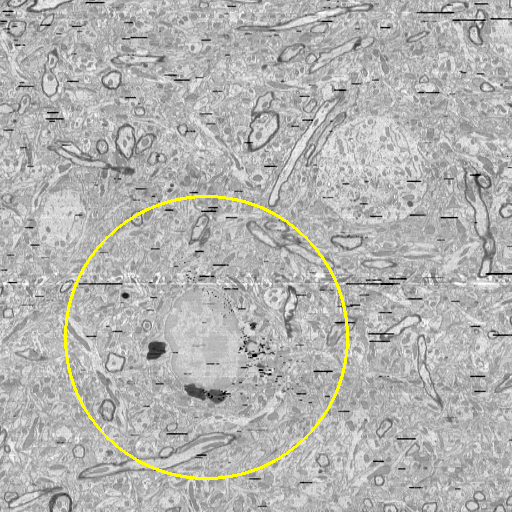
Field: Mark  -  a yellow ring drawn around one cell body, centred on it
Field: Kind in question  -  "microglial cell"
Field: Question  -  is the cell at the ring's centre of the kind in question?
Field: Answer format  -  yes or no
yes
